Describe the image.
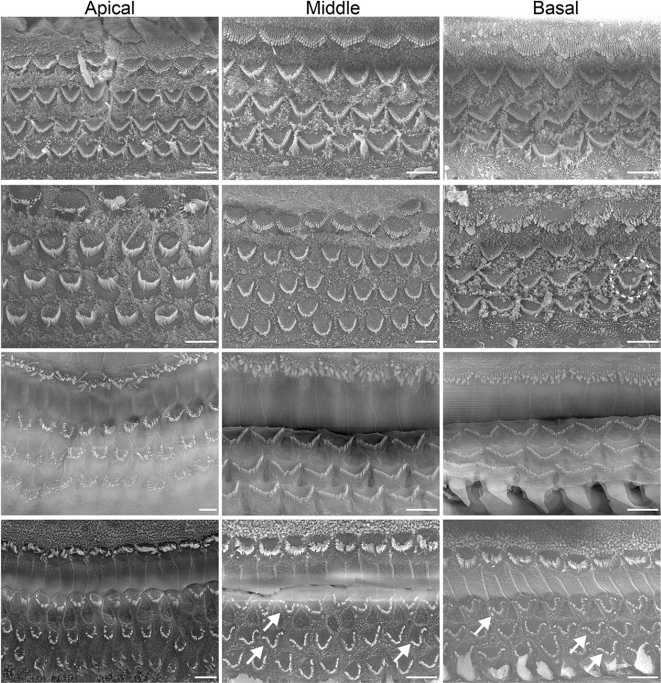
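These are surface views of the organ of Corti, each with one row of inner hair cells and three rows of outer hair cells capped by bundles of stereocilia. In many images the outer hair cell bundles form a sharp V, arranged in neat parallel rows.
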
